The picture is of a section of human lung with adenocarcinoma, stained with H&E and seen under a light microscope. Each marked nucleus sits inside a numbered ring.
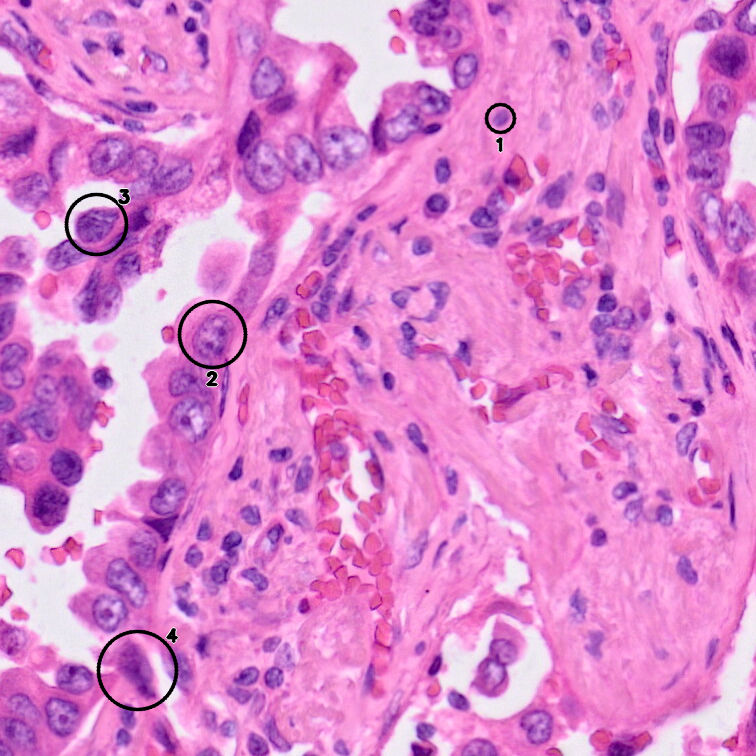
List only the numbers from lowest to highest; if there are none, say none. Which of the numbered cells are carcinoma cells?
2, 3, 4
